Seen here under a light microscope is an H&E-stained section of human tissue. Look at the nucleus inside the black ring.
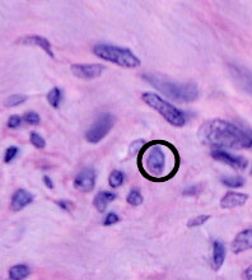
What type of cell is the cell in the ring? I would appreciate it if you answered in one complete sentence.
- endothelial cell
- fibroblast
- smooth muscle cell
Microscopically, the cell in the ring is categorized as a smooth muscle cell.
